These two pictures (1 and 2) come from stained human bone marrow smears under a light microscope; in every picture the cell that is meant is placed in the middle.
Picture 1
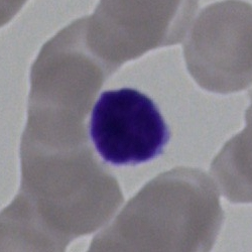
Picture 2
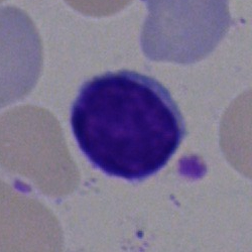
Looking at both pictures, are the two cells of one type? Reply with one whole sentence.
Yes, both are lymphocytes.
